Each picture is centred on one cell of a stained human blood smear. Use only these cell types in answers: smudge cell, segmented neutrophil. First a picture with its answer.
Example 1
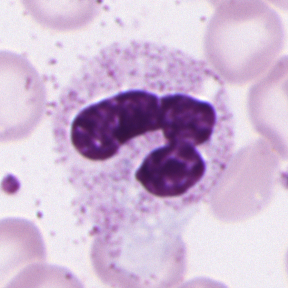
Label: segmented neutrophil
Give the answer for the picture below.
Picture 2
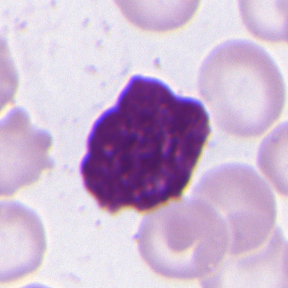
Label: smudge cell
